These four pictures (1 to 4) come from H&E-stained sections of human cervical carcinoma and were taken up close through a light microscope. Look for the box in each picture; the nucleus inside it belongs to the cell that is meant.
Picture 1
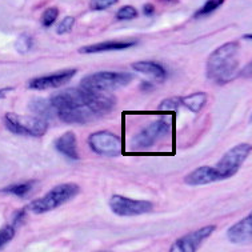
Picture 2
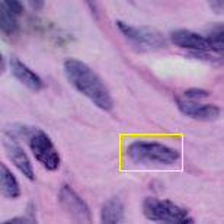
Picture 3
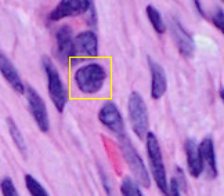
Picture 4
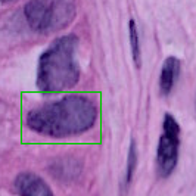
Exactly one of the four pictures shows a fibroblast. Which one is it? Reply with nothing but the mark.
2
